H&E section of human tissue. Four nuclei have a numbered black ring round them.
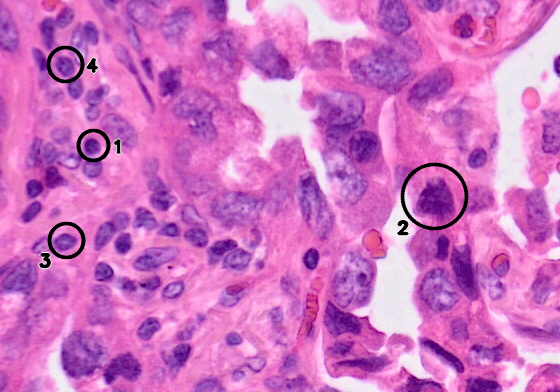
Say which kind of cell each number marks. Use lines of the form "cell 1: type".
cell 1: lymphocyte
cell 2: carcinoma cell
cell 3: lymphocyte
cell 4: lymphocyte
